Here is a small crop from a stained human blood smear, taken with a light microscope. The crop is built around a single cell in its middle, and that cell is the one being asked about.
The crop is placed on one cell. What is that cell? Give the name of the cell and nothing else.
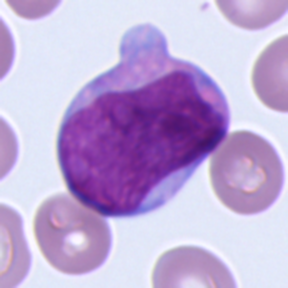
atypical promyelocyte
